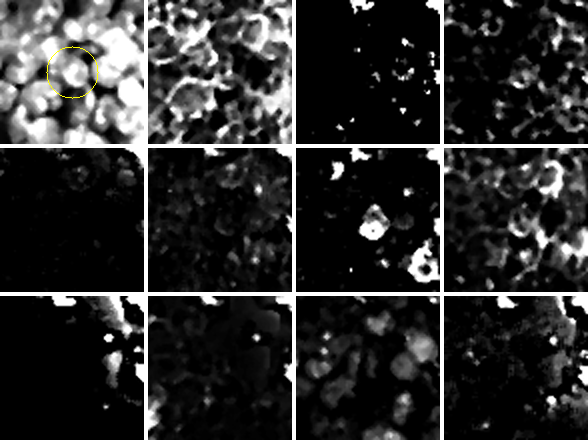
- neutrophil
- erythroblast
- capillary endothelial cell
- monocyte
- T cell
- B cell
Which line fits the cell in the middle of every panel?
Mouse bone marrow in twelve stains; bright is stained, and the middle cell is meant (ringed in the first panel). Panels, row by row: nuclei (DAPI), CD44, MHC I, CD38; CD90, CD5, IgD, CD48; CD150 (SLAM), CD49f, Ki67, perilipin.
B cell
